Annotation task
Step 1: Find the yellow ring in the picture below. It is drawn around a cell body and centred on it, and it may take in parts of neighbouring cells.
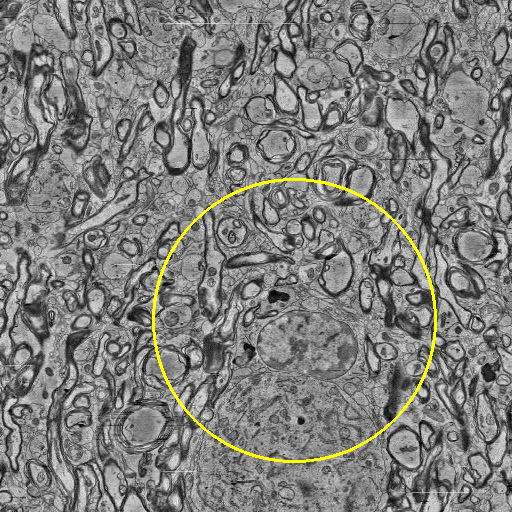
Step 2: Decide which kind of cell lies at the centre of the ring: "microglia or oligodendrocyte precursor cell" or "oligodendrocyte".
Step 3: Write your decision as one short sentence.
The kind of cell at the ring's centre is a microglial cell or oligodendrocyte precursor cell.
